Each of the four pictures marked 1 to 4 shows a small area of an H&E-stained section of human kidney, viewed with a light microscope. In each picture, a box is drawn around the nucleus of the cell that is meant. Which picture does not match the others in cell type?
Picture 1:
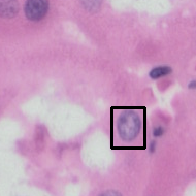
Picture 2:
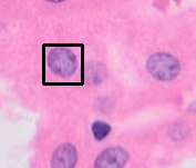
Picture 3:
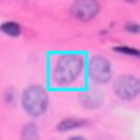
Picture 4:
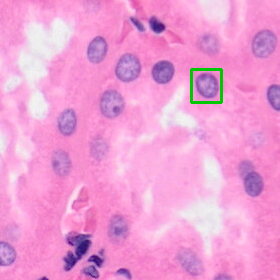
3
